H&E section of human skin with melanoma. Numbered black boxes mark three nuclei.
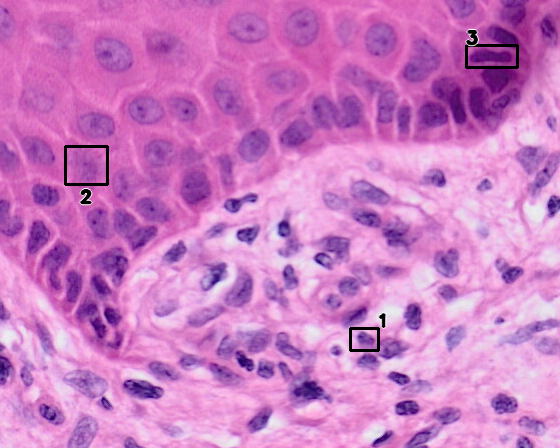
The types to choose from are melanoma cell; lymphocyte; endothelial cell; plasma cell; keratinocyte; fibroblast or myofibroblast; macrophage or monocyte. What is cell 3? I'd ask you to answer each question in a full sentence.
The cell given label 3 is a keratinocyte.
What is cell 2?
Heads up, the cell numbered 2 is a keratinocyte.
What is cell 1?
Cell 1, as marked in the section, is a lymphocyte.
